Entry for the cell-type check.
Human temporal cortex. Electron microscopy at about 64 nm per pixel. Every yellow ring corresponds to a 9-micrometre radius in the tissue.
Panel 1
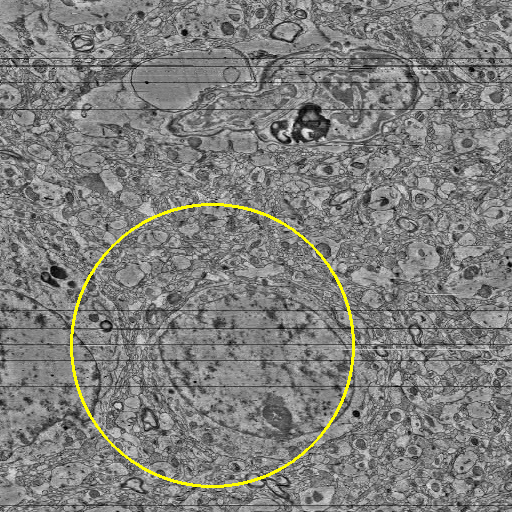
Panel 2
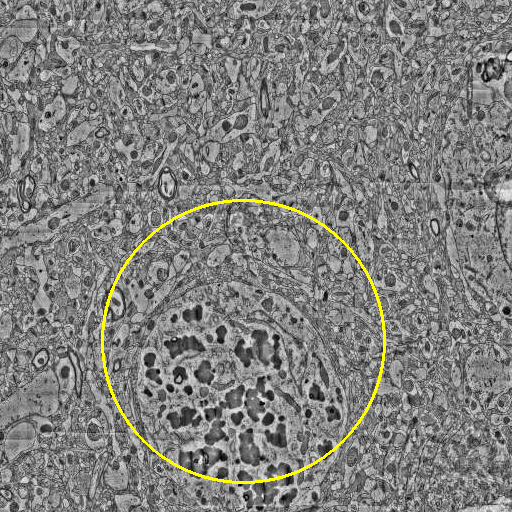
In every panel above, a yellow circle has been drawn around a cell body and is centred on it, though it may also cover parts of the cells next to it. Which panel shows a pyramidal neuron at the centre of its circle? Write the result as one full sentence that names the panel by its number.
Panel 1 shows it at the centre of its circle.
